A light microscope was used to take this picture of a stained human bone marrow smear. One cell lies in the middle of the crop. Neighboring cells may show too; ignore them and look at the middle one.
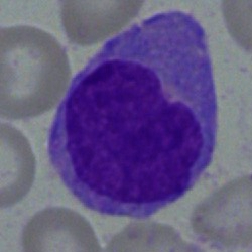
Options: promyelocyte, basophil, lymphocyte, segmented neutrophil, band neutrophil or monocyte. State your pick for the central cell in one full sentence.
The centrally positioned cell in the crop represents a monocyte.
